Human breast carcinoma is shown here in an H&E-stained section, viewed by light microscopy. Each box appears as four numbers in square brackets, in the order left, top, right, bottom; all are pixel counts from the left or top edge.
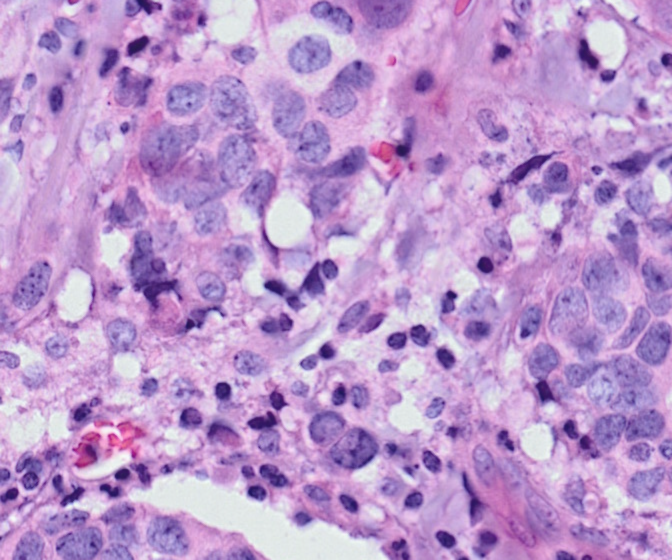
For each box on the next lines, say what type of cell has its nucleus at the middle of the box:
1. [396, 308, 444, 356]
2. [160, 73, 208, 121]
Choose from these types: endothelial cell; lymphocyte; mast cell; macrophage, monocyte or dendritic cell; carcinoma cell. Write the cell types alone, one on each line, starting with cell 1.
lymphocyte
carcinoma cell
